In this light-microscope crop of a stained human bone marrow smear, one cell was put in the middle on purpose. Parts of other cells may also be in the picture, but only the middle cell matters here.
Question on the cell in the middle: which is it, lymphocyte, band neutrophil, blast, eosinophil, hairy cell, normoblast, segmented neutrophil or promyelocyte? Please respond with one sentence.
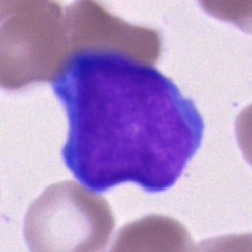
Among the cells in view, the one in the middle is a blast.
